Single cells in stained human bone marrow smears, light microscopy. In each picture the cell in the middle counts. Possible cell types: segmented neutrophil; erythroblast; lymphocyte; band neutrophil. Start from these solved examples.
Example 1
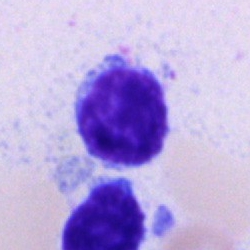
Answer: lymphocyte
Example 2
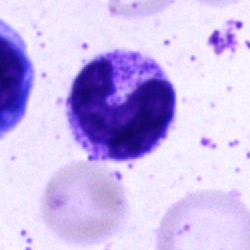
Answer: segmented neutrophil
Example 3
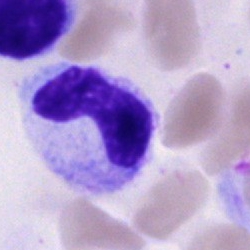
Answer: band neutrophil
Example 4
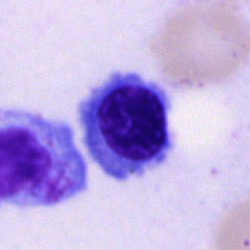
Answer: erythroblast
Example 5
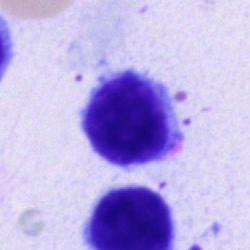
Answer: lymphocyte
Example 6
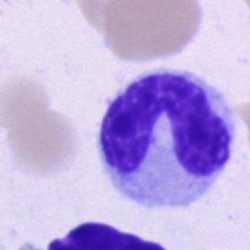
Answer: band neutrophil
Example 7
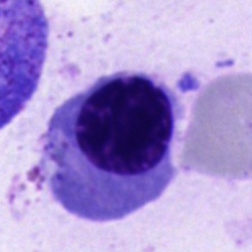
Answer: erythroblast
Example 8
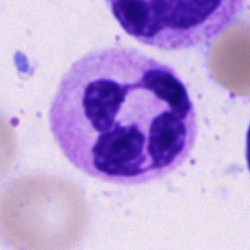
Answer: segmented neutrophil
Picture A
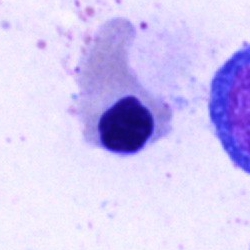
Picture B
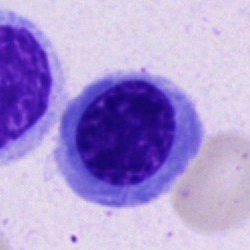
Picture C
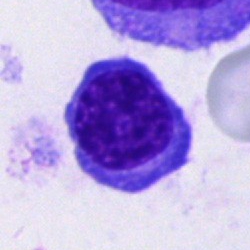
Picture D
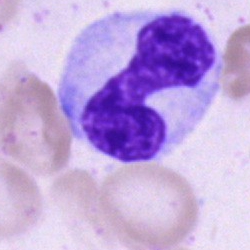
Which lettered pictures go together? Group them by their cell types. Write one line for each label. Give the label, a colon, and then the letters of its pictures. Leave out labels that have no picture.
erythroblast: A, B, C
band neutrophil: D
